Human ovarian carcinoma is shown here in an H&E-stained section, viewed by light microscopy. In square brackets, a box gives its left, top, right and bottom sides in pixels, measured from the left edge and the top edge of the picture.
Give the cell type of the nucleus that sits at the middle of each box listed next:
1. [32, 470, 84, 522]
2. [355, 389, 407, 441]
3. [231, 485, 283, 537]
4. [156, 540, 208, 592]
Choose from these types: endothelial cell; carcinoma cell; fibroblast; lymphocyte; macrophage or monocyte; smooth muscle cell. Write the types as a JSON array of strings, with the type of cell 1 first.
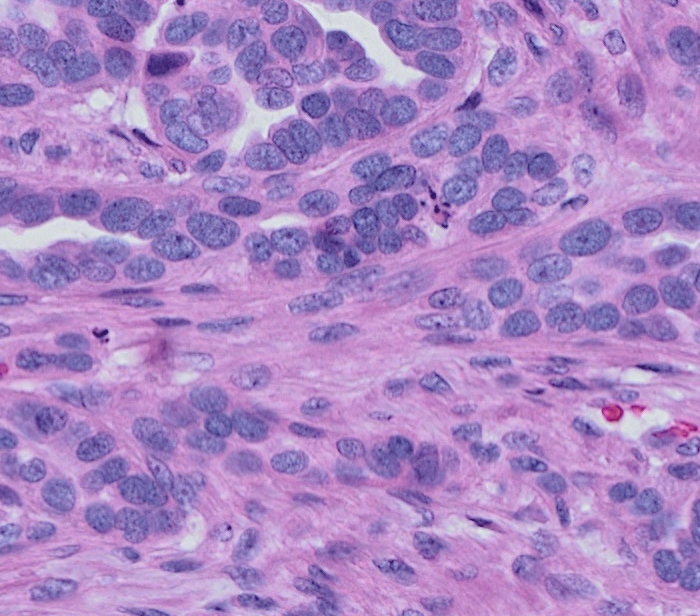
["carcinoma cell", "fibroblast", "fibroblast", "fibroblast"]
